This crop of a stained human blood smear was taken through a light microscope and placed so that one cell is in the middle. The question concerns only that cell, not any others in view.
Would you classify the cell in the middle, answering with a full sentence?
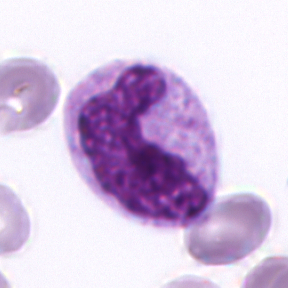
The middle of this crop is occupied by a band neutrophil.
